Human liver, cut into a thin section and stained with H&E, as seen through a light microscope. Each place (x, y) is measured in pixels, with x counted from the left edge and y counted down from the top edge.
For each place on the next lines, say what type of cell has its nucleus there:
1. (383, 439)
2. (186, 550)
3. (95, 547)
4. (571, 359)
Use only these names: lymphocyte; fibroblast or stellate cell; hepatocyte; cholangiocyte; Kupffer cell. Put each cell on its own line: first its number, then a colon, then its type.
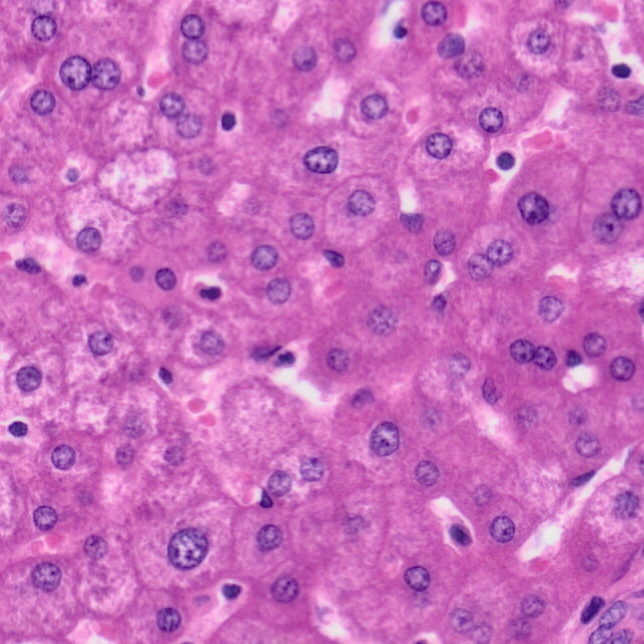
1: hepatocyte
2: hepatocyte
3: hepatocyte
4: fibroblast or stellate cell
